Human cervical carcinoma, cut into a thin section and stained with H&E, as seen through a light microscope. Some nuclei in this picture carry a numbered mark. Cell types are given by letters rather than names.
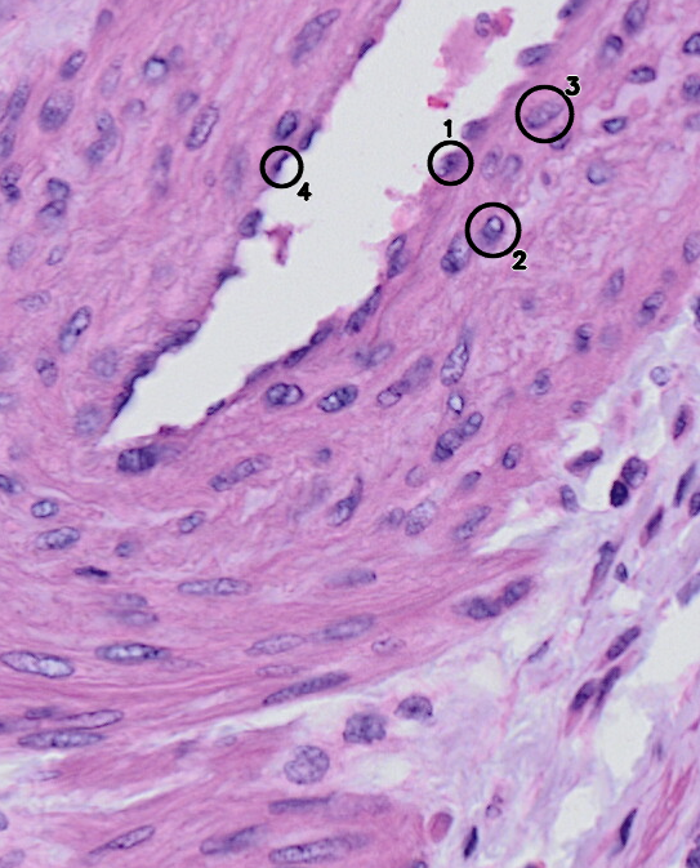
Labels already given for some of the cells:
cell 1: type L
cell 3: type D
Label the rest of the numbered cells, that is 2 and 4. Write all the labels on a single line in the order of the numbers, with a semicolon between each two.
type D; type L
